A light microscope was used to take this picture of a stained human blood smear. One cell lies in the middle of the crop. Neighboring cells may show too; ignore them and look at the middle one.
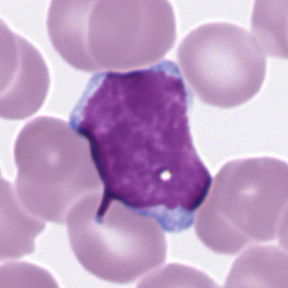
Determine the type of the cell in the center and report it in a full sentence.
The central cell shown in this smear crop is a typical lymphocyte.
